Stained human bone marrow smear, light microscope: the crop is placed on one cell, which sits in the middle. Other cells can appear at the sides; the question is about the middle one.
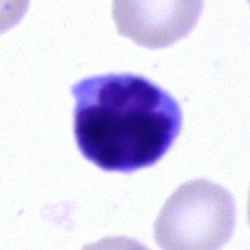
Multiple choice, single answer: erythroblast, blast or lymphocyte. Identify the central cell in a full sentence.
The cell in the middle of this crop is a lymphocyte.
